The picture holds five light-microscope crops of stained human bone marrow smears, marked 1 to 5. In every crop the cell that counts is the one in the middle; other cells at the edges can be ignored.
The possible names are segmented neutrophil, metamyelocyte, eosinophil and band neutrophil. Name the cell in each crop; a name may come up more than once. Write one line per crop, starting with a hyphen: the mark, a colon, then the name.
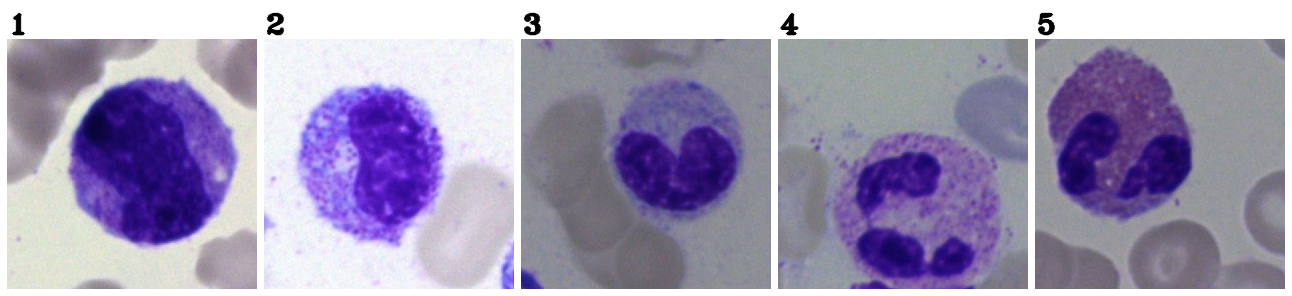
- 1: metamyelocyte
- 2: metamyelocyte
- 3: band neutrophil
- 4: segmented neutrophil
- 5: eosinophil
